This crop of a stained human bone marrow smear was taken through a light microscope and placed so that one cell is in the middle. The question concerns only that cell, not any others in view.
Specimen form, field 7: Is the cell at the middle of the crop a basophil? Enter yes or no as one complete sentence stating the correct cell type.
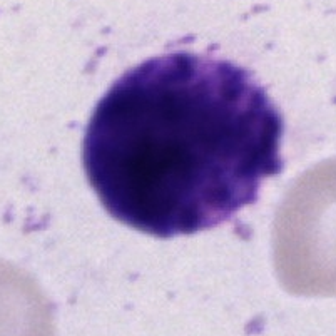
Yes, placed in the middle of the crop is a basophil.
